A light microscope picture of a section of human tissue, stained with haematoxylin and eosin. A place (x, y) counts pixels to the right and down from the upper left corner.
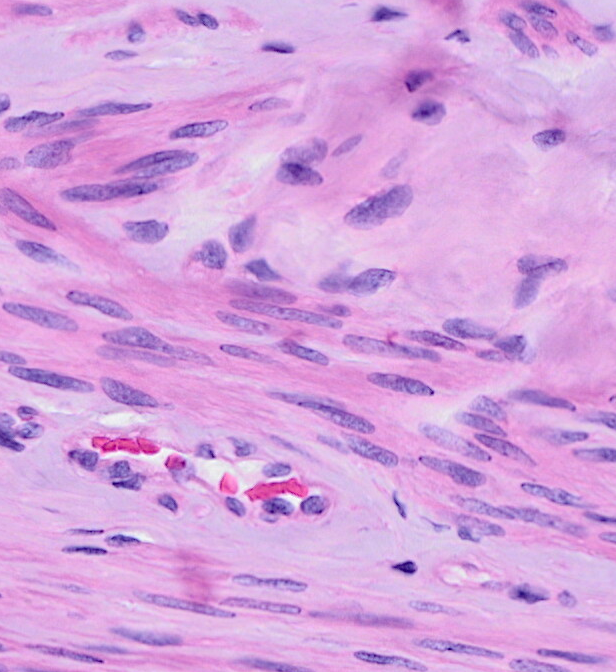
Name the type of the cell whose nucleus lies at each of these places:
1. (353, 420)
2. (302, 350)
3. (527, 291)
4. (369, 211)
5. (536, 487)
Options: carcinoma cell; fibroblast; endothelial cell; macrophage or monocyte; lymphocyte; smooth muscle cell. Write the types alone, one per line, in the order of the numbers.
smooth muscle cell
smooth muscle cell
fibroblast
fibroblast
smooth muscle cell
